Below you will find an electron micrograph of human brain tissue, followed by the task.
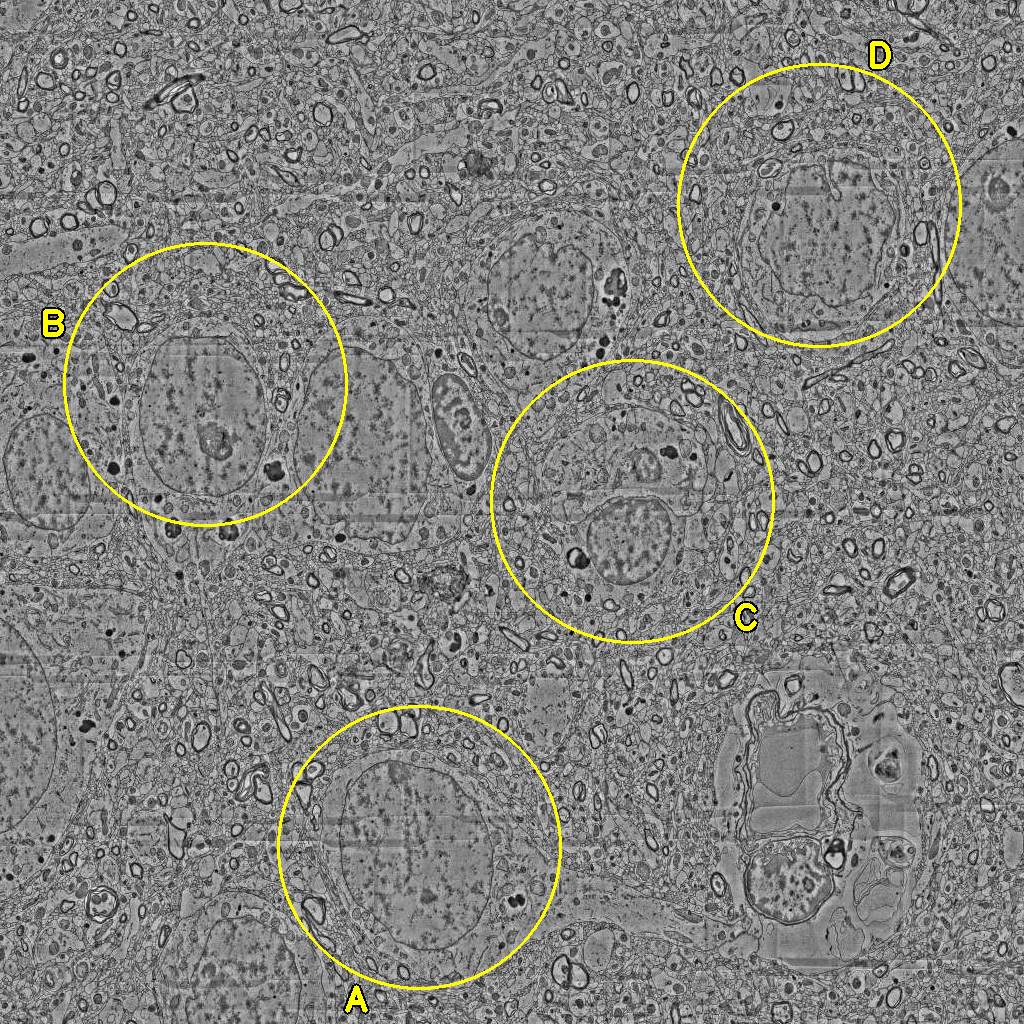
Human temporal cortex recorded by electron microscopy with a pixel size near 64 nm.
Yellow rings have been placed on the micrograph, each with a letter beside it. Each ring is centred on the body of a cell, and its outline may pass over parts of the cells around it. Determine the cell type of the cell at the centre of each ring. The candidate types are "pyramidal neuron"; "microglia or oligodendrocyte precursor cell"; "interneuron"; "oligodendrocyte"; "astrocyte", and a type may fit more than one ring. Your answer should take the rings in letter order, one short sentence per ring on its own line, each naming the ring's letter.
The centre of ring A falls on a pyramidal neuron.
The centre of ring B falls on a pyramidal neuron.
The centre of ring C falls on an oligodendrocyte.
The centre of ring D falls on an interneuron.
